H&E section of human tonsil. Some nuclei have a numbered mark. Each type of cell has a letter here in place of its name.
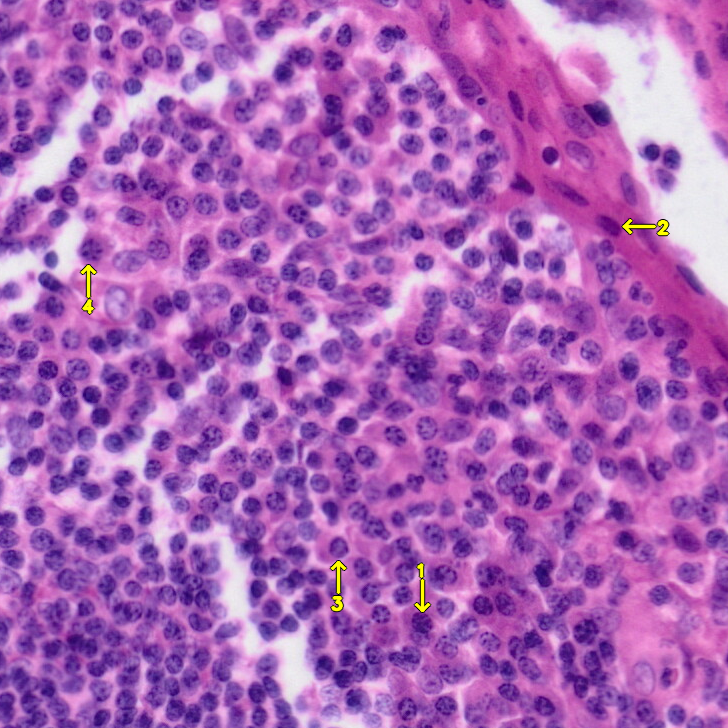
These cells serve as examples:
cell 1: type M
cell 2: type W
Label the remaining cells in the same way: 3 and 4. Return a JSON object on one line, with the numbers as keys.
{"3": "type M", "4": "type M"}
